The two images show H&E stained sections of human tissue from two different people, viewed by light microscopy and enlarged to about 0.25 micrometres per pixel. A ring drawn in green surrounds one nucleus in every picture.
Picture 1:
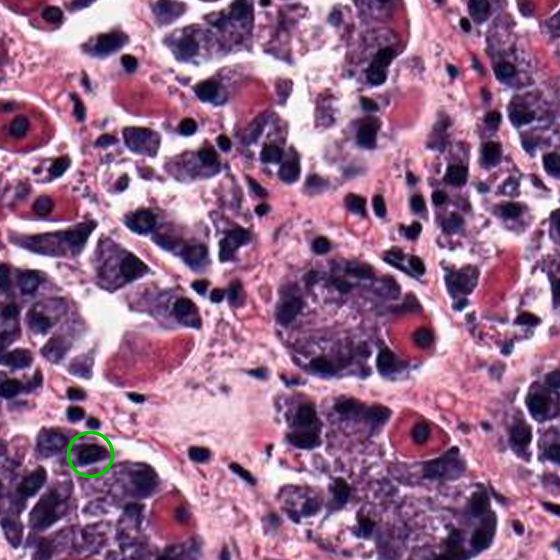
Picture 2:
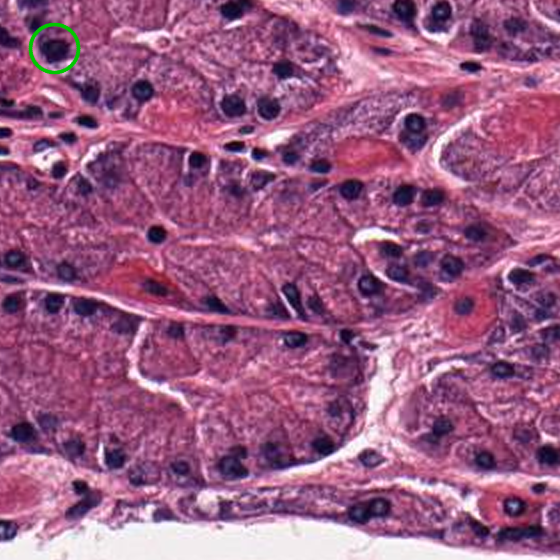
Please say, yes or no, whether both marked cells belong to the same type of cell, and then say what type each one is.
Yes, both are chief cells.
